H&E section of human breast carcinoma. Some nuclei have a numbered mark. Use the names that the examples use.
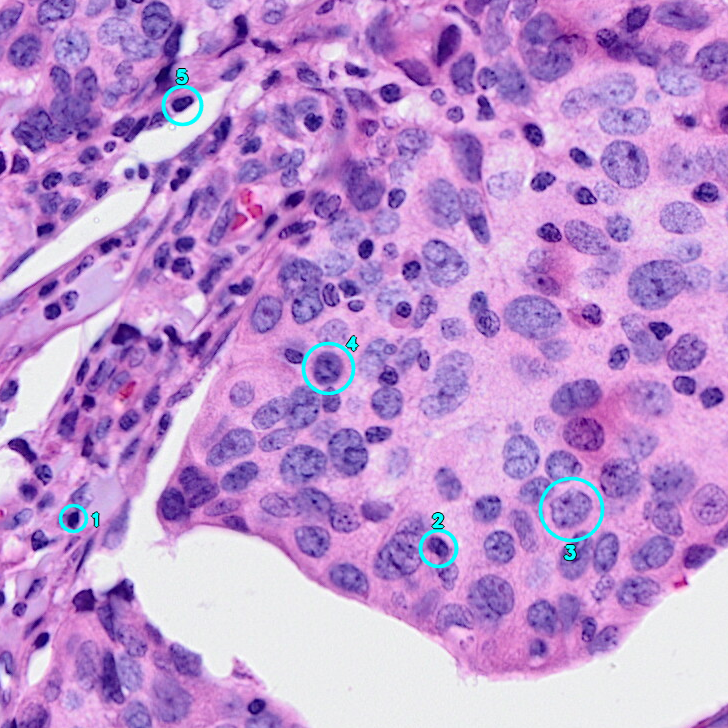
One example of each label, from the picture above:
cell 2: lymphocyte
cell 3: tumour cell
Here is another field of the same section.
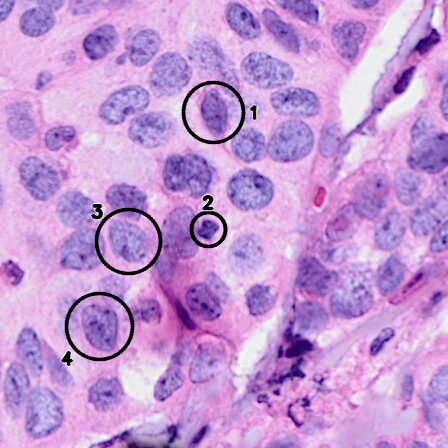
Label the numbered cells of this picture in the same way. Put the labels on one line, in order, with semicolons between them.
tumour cell; lymphocyte; tumour cell; tumour cell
